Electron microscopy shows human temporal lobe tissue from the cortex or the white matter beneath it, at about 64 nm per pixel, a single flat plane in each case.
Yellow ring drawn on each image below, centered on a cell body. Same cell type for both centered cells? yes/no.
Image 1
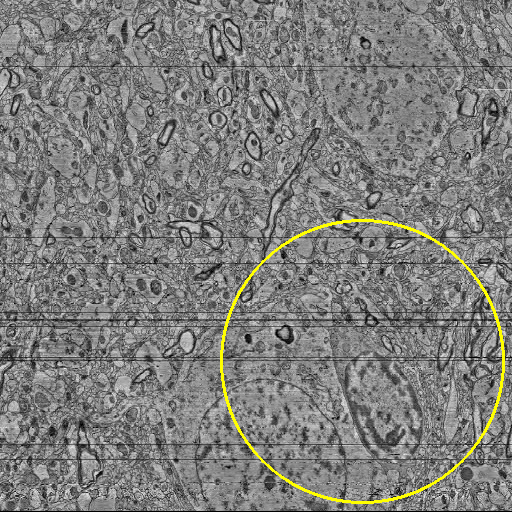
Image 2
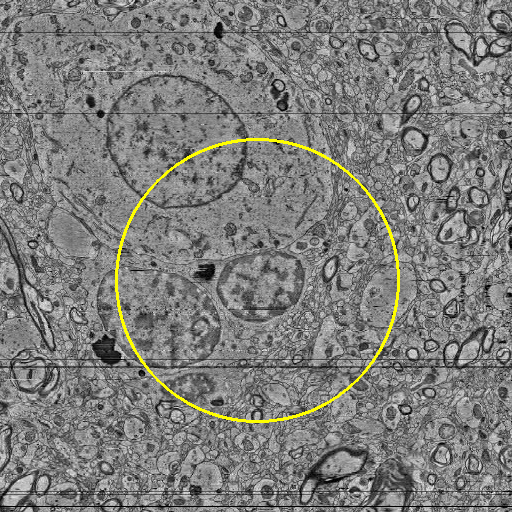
yes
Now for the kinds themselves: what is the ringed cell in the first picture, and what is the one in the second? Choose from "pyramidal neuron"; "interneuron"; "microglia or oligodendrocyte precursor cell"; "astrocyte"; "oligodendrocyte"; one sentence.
In each of the two pictures, the ringed cell is an oligodendrocyte.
